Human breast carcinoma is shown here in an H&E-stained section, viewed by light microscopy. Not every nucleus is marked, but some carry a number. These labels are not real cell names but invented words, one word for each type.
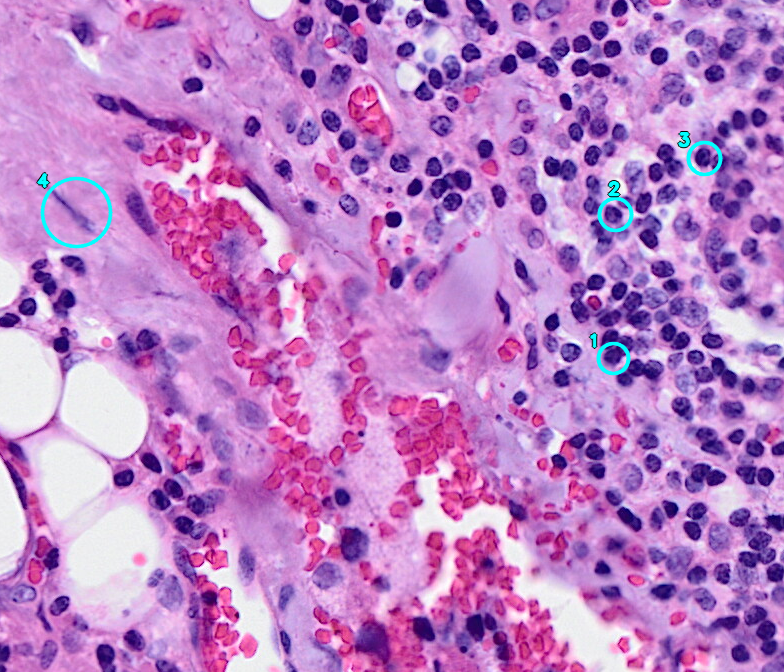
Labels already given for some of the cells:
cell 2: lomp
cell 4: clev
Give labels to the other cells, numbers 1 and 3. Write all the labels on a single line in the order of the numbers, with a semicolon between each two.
lomp; lomp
